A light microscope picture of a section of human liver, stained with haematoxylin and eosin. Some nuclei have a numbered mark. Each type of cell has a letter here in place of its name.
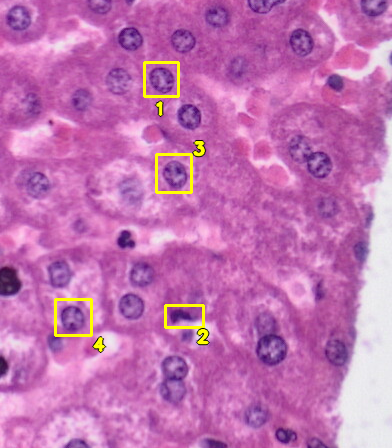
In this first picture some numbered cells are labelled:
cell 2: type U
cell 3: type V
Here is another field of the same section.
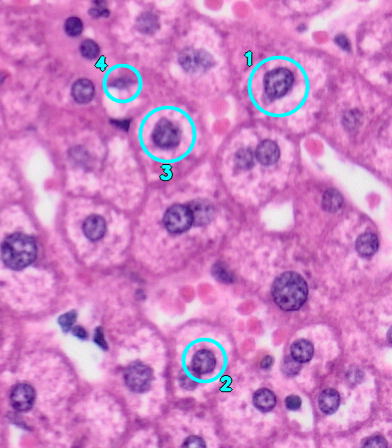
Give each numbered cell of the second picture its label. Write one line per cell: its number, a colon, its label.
1: type V
2: type V
3: type V
4: type U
